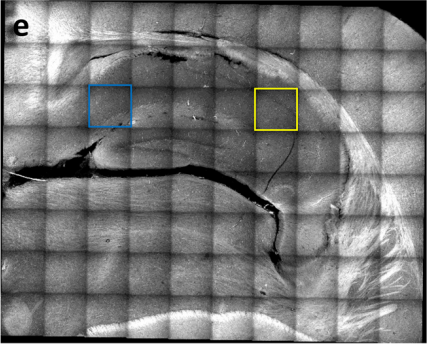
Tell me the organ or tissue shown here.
Hippocampus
